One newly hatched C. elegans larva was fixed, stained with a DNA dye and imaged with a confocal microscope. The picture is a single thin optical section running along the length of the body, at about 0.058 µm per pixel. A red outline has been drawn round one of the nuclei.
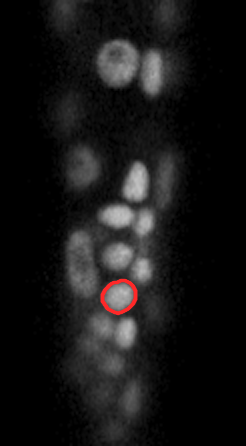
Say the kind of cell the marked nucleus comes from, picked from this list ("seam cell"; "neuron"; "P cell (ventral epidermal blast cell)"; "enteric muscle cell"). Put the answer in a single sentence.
The nucleus comes from a neuron.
